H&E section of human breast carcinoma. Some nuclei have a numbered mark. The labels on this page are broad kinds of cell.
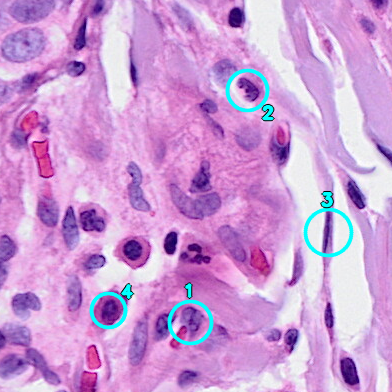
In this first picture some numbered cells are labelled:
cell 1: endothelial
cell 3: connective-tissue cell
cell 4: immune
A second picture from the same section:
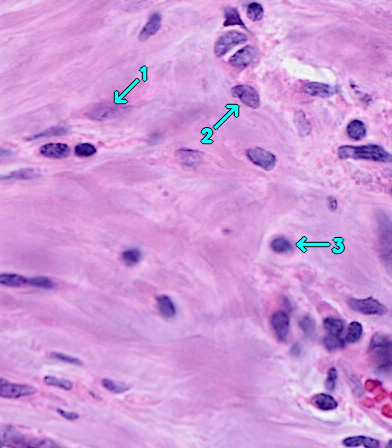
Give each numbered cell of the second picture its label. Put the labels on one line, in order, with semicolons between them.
connective-tissue cell; immune; immune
